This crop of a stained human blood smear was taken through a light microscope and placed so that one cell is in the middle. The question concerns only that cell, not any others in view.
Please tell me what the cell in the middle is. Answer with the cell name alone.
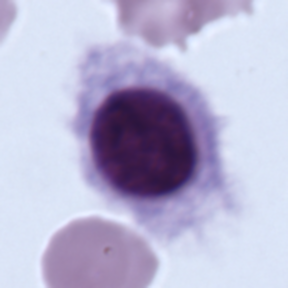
hairy cell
